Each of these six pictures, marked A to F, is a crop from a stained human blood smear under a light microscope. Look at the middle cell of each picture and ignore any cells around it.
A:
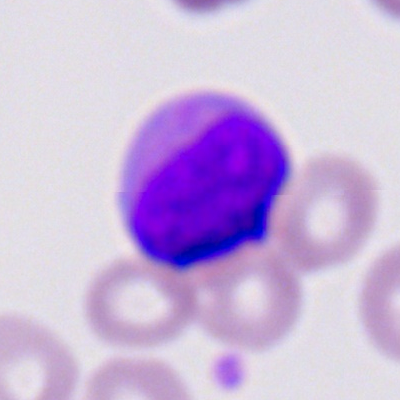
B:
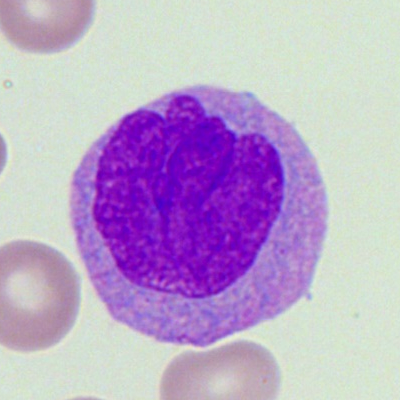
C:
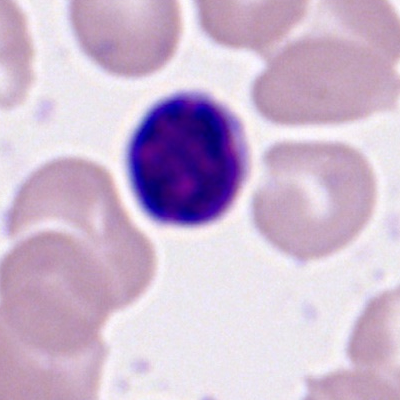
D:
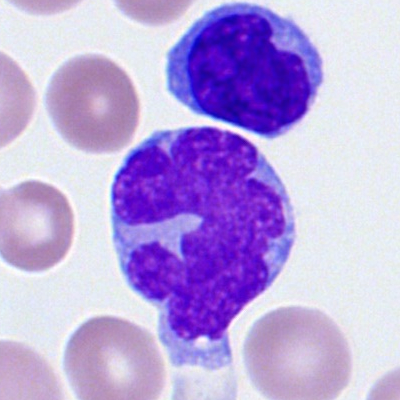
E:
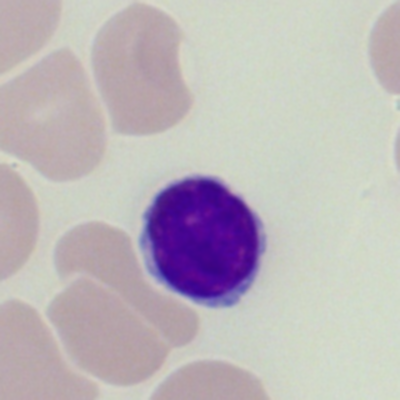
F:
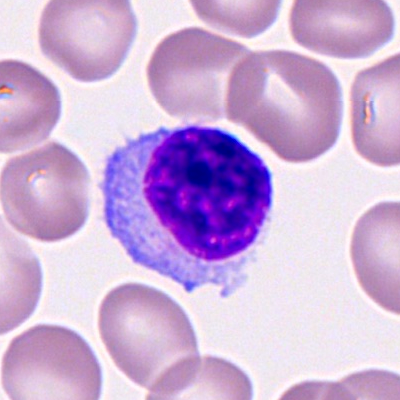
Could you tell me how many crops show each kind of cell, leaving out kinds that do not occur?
lymphocyte: 3
myeloblast: 2
monocyte: 1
